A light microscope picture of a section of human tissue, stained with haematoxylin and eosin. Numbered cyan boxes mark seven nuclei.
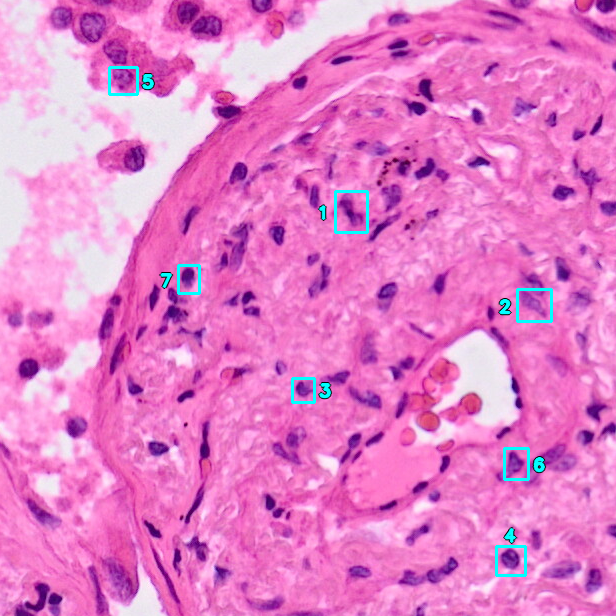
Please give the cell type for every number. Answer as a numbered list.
1. plasma cell
2. smooth muscle cell or pericyte
3. smooth muscle cell or pericyte
4. lymphocyte
5. macrophage or monocyte
6. smooth muscle cell or pericyte
7. lymphocyte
